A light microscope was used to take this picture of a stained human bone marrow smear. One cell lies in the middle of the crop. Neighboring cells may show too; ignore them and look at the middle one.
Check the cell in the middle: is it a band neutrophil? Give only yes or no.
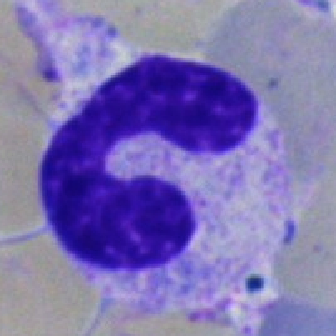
yes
